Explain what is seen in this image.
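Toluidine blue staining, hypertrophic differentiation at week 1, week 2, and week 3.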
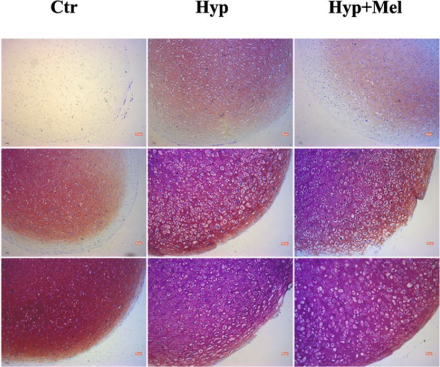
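Cartilage-like aggregates of chondrocytes, shown as a grid of nine sections. In most sections, rounded cells lie in pale spaces within a matrix stained purple to red, and the pale spaces are large in several of the sections. One section is almost unstained.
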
